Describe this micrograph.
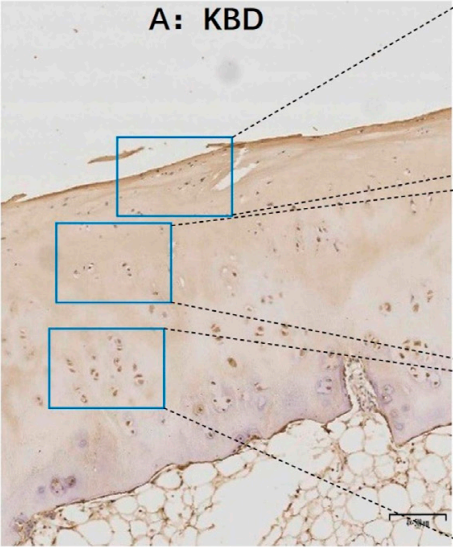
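Cartilage tissue with chondrocytes lying in lacunae within a brownish homogeneous matrix, with far fewer cells than usual near the surface. Deeper down the chondrocytes are larger and grouped in clusters, and below the cartilage lies a layer of fat-filled marrow spaces.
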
